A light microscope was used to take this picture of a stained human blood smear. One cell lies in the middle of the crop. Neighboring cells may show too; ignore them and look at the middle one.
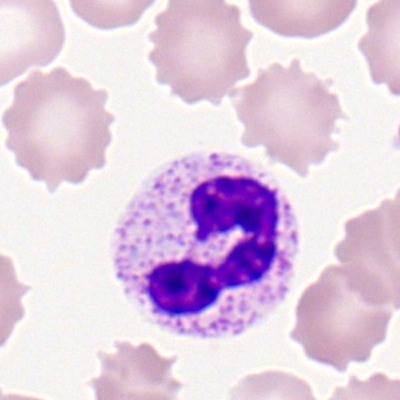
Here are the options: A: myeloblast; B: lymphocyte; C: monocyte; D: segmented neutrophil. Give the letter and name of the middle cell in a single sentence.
Occupying the middle of the crop is a segmented neutrophil, hence option D is correct.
